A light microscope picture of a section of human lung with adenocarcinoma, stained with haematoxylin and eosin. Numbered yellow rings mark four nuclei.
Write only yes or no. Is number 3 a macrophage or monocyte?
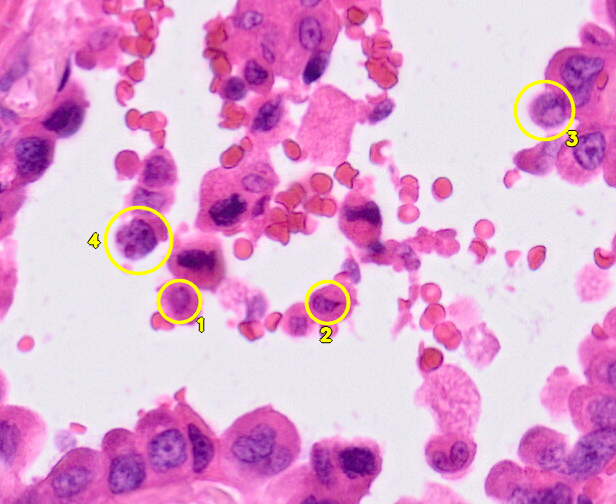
no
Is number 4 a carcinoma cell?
yes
